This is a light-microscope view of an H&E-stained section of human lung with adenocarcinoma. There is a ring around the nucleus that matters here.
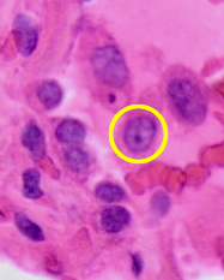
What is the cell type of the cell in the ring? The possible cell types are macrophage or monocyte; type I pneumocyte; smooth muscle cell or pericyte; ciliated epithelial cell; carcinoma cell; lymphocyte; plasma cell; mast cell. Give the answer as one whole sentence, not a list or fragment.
Students should answer that the cell in the ring is a macrophage or monocyte.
